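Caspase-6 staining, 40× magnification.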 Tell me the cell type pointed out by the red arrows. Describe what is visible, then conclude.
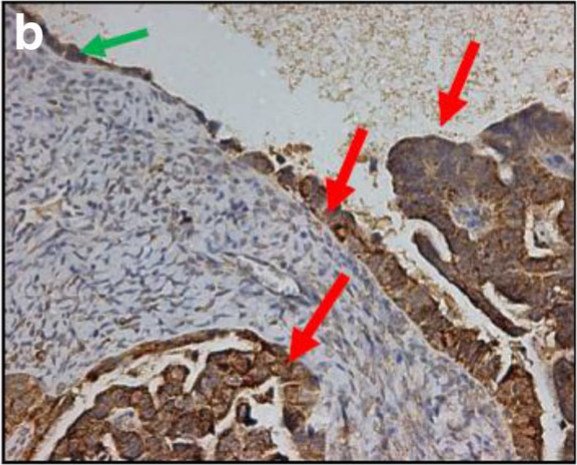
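Tumor cells. Multilayered, crowded cells form papillary masses with clefts. The cells are strongly brown-stained and have large nuclei.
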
